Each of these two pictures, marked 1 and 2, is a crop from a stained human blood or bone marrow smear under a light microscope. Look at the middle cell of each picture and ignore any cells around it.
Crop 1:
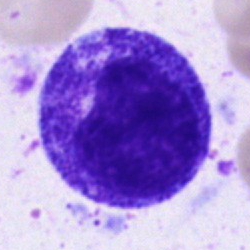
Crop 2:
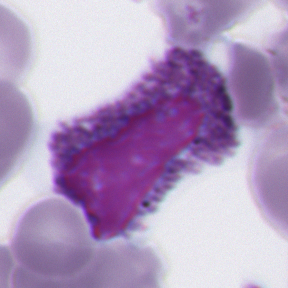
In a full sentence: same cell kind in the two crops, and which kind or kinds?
No, that is not right; crop 1 shows a promyelocyte and crop 2 shows an eosinophil.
